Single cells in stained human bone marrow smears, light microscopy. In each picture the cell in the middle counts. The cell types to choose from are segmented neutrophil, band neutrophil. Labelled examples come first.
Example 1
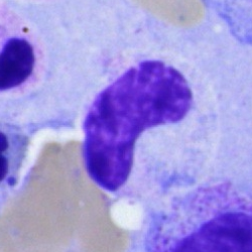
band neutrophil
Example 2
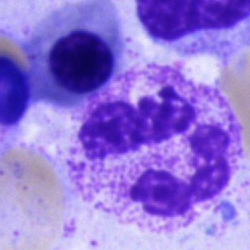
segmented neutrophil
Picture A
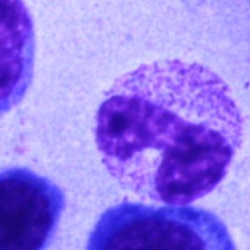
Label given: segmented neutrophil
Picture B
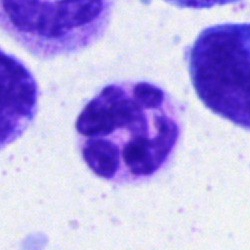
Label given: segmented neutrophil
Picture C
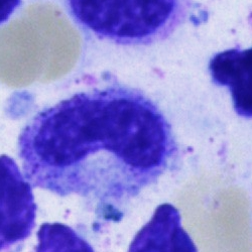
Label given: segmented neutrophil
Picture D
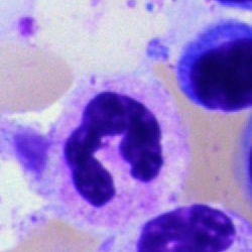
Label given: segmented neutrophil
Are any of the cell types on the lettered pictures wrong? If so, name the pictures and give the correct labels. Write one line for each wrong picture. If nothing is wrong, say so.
Wrong: A (segmented neutrophil); correct: band neutrophil
Wrong: C (segmented neutrophil); correct: band neutrophil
